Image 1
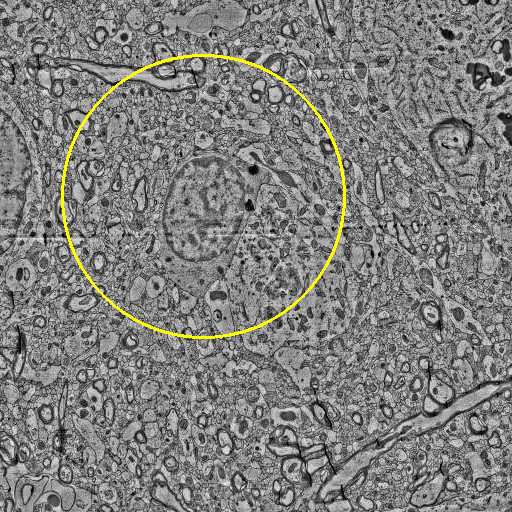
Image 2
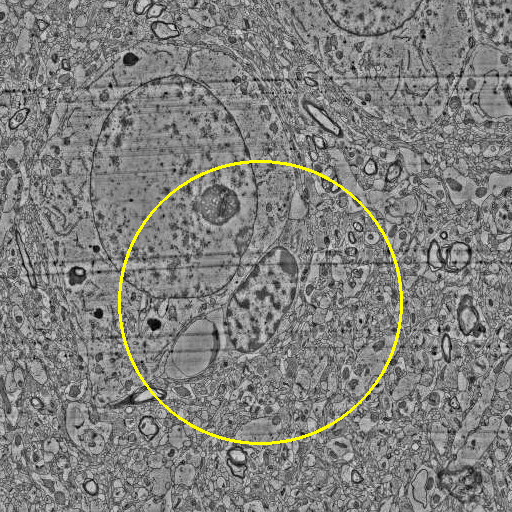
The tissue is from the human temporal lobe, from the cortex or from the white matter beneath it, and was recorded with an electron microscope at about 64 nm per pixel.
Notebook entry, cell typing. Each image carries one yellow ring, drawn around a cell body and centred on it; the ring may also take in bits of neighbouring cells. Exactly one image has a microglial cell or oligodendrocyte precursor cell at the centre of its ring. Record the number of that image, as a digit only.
2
